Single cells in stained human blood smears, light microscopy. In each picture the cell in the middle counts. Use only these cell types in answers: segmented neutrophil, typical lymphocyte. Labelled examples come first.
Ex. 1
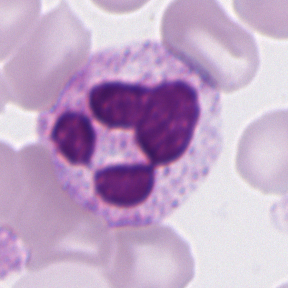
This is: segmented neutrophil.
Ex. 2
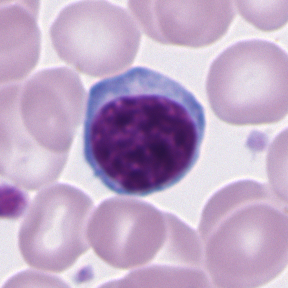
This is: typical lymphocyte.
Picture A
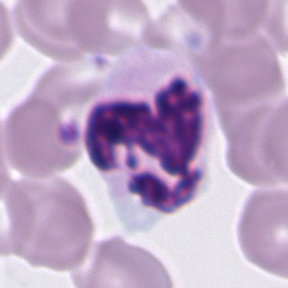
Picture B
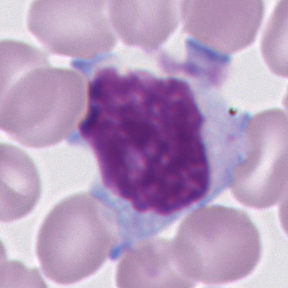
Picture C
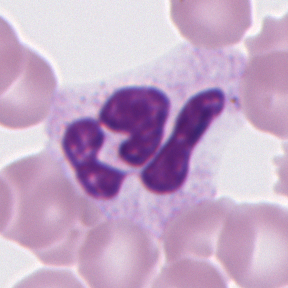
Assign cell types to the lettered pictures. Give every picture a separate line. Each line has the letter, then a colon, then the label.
A: segmented neutrophil.
B: typical lymphocyte.
C: segmented neutrophil.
